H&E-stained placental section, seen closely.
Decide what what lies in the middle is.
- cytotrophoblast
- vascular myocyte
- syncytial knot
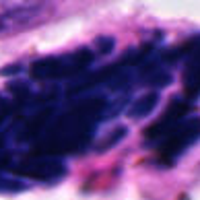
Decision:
syncytial knot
